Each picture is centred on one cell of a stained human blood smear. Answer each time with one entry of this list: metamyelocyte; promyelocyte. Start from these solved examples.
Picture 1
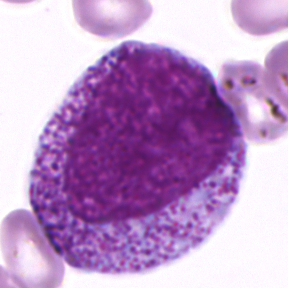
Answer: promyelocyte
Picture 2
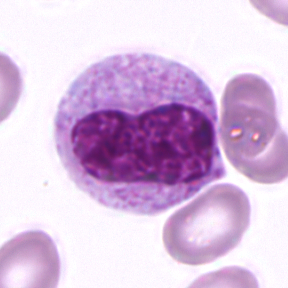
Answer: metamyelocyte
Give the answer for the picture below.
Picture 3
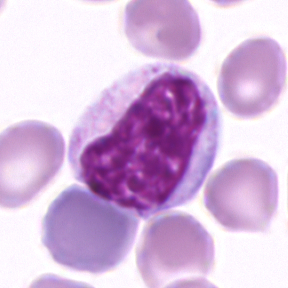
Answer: metamyelocyte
